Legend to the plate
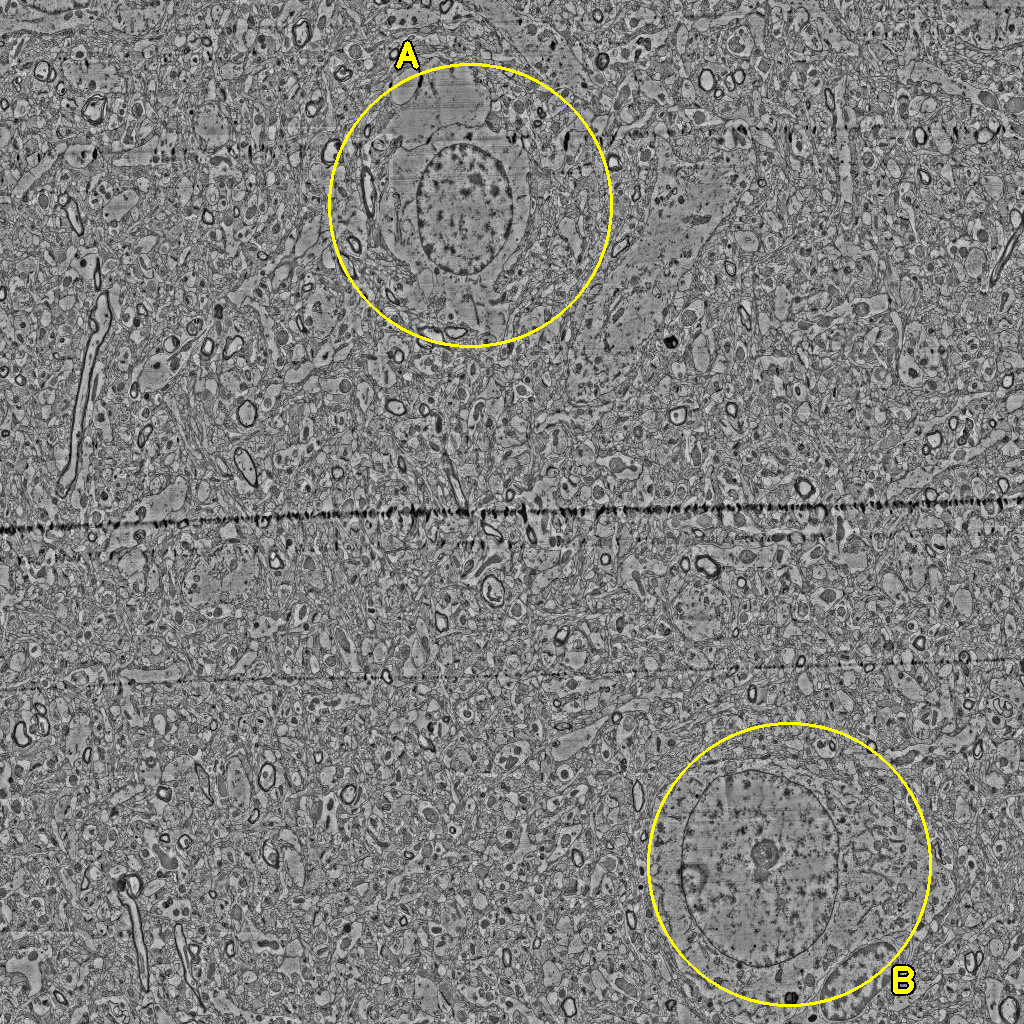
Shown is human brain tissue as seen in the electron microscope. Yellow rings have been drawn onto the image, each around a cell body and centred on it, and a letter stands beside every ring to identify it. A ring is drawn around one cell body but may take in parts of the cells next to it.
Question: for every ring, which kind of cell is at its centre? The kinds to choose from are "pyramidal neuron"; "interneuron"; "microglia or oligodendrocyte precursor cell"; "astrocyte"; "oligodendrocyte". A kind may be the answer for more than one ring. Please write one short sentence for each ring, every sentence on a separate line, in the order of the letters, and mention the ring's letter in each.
The kind of cell at the centre of ring A is an astrocyte.
The kind of cell at the centre of ring B is a pyramidal neuron.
